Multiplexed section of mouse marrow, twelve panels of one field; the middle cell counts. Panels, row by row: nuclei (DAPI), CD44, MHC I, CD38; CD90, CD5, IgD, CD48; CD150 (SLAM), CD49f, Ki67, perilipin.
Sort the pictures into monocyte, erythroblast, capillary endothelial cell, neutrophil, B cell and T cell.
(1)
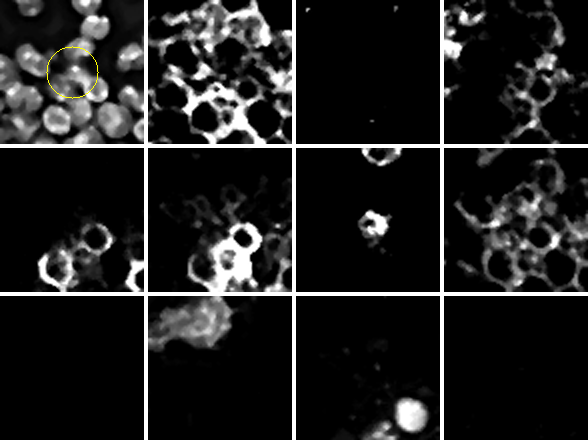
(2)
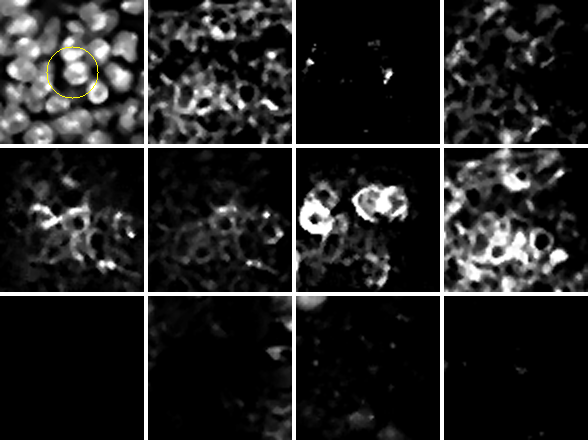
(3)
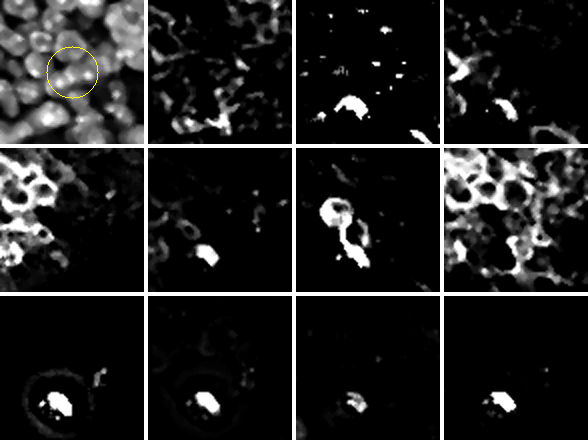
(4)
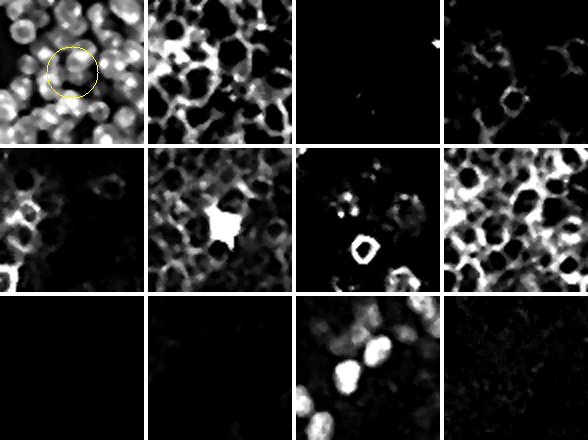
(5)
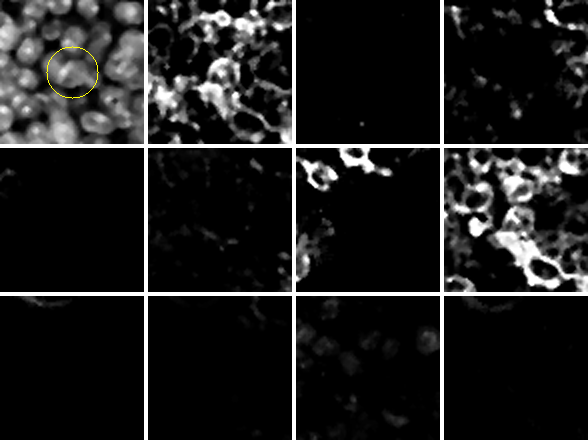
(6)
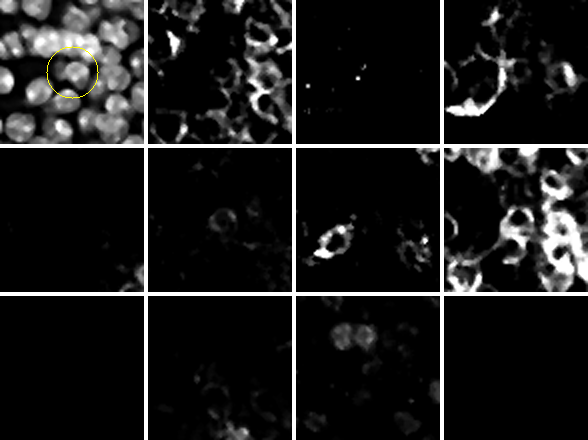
B cells: 1, 2
Neutrophils: 3
T cells: 4
Monocytes: 5
Capillary endothelial cells: 6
